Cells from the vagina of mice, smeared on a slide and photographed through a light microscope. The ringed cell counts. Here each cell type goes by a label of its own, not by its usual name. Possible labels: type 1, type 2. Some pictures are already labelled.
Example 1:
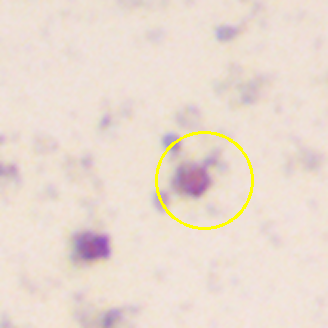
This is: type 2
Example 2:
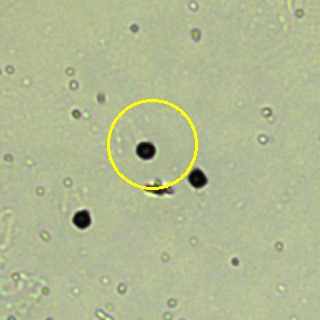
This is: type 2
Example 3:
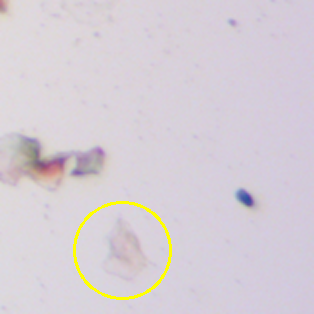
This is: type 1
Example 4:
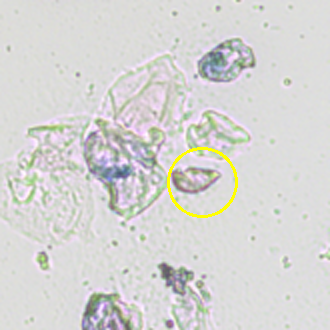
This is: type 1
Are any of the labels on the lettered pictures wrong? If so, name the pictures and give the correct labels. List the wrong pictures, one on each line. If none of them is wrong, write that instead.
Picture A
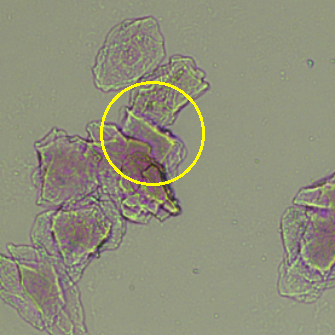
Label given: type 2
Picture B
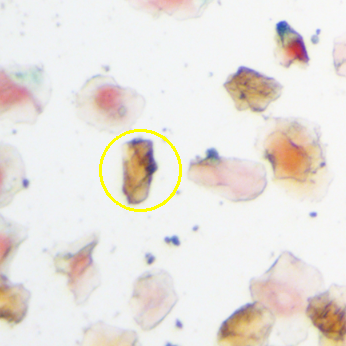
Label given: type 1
A: not type 2 but type 1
